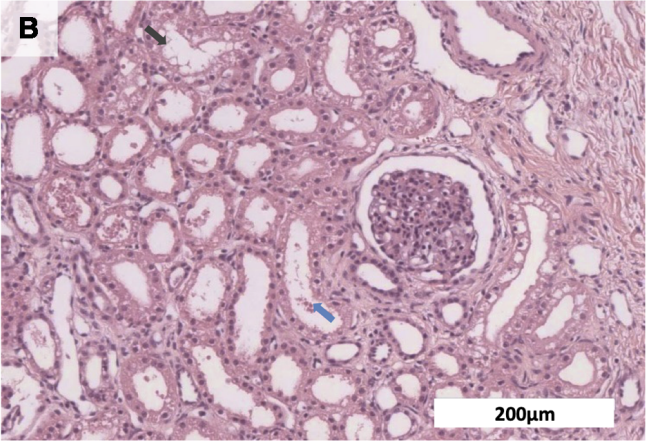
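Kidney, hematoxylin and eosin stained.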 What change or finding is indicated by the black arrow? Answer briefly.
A: Tubular vacuolization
